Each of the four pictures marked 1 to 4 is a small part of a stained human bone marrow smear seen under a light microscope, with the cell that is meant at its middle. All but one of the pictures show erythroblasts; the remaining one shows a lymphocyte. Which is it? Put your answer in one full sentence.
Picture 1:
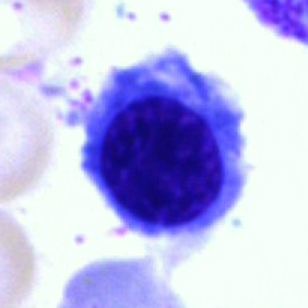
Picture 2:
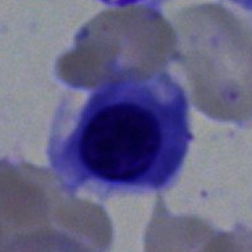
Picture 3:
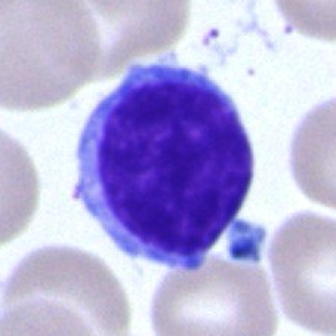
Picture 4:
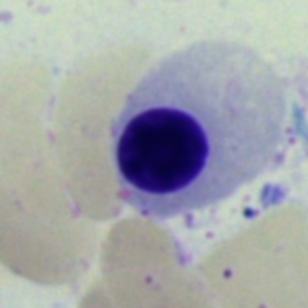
It is picture 3 that shows the lymphocyte.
